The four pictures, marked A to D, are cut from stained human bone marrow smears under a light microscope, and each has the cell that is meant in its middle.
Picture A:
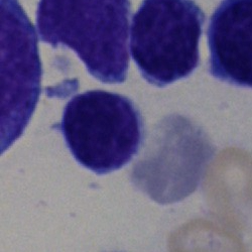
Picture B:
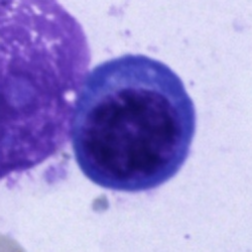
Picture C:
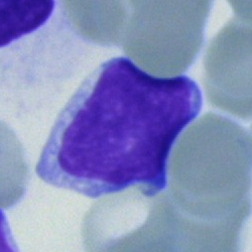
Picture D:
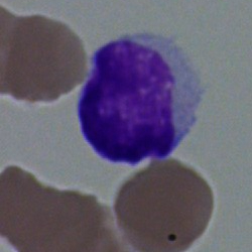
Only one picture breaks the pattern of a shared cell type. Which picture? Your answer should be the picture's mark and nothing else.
B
